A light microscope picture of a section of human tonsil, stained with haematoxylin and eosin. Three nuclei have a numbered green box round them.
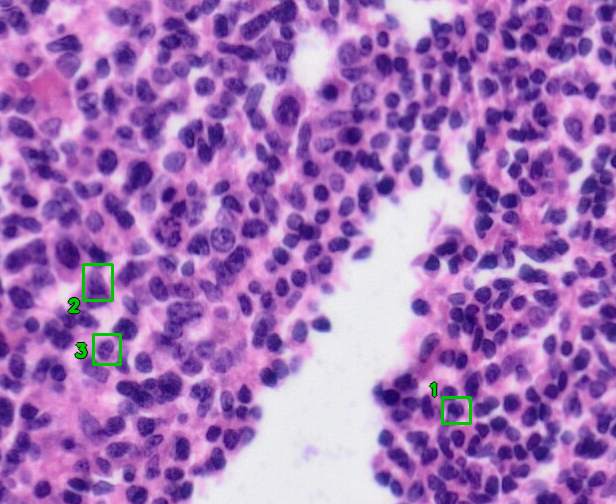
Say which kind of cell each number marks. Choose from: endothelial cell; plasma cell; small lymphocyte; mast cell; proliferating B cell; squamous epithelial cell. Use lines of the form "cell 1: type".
cell 1: small lymphocyte
cell 2: proliferating B cell
cell 3: proliferating B cell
